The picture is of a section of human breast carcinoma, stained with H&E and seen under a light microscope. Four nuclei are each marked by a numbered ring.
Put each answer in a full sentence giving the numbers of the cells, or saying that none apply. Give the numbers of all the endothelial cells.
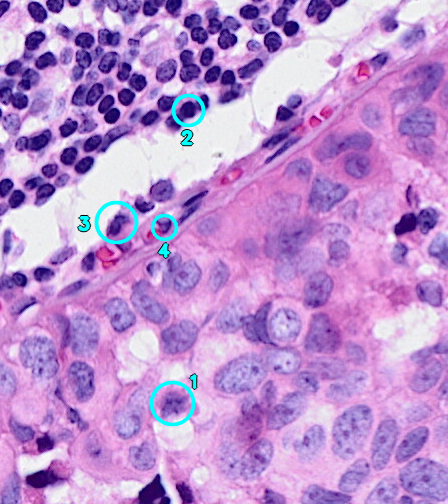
Among the numbered cells, the one that is an endothelial cell is cell 4 alone.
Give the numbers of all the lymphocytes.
The cells numbered 2 and 3 are identified as lymphocytes.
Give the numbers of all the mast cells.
Of all the numbered cells, not one is counted among the mast cells.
